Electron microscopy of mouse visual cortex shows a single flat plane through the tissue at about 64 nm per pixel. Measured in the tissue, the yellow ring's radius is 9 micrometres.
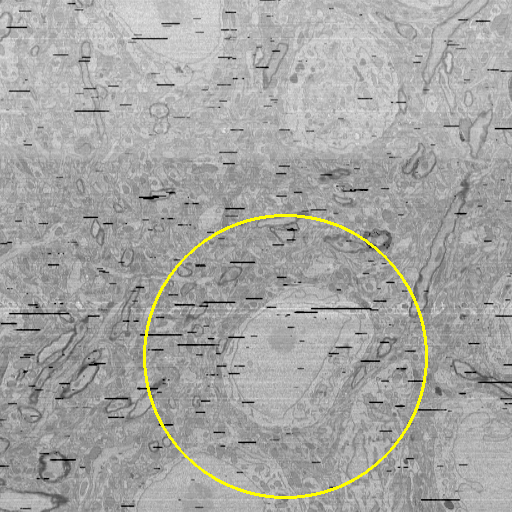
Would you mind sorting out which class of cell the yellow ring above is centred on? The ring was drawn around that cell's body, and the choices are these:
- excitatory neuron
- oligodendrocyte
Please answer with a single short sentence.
This is the cell body of an excitatory neuron.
